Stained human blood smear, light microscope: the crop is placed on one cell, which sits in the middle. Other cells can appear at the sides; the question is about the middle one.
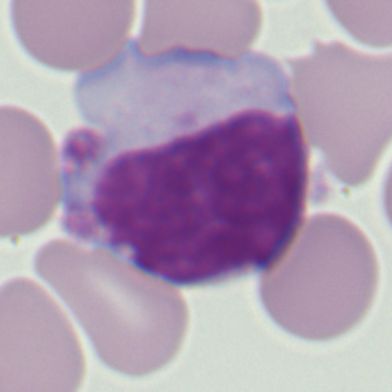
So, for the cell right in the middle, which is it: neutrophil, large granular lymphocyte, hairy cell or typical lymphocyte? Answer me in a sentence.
The centrally positioned cell in the crop represents a large granular lymphocyte.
